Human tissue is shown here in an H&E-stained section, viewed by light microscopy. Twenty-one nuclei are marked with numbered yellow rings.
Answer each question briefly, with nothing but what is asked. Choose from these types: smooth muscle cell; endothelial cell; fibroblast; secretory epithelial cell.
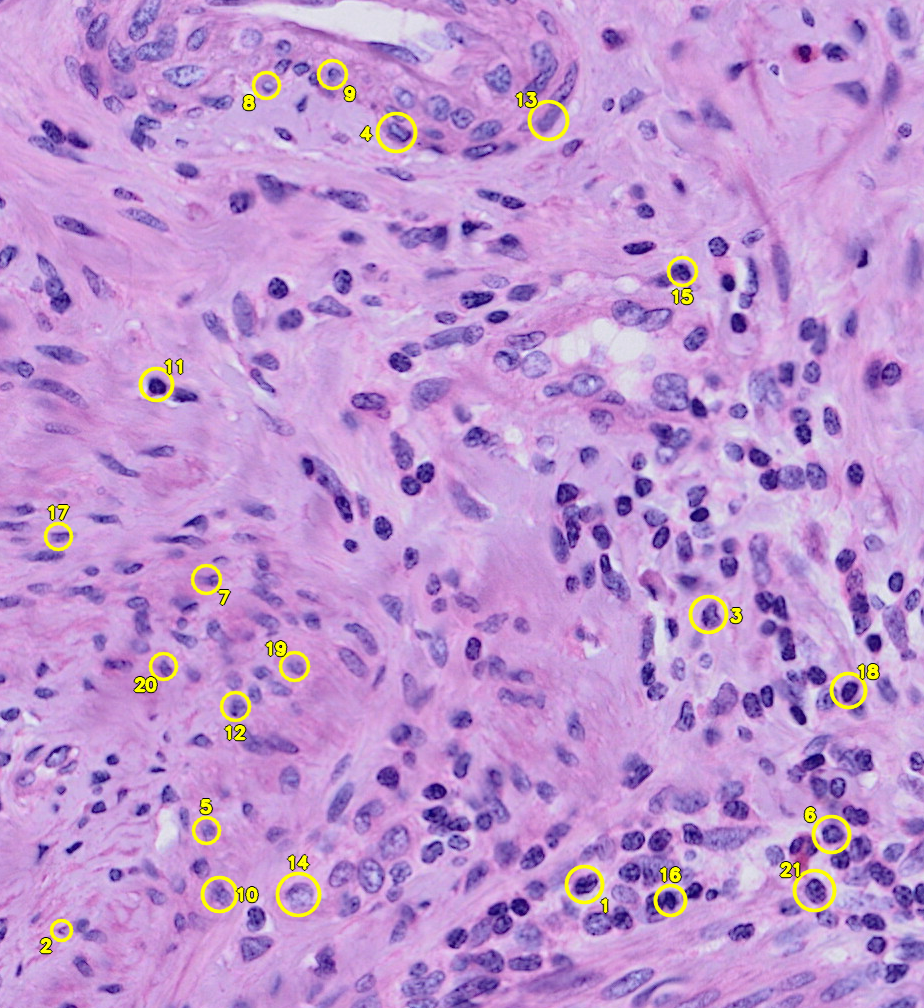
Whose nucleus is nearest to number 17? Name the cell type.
fibroblast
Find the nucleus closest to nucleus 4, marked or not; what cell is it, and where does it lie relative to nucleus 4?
a smooth muscle cell; above nucleus 4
